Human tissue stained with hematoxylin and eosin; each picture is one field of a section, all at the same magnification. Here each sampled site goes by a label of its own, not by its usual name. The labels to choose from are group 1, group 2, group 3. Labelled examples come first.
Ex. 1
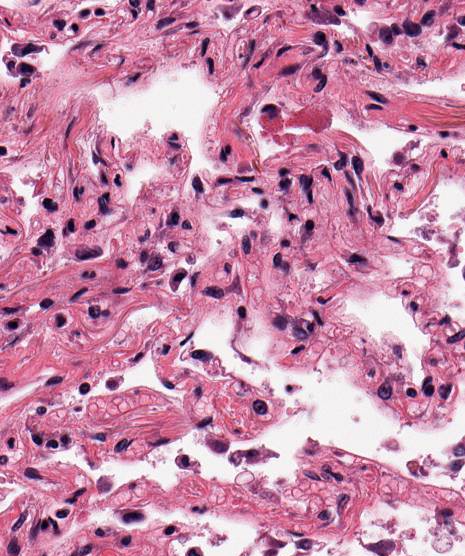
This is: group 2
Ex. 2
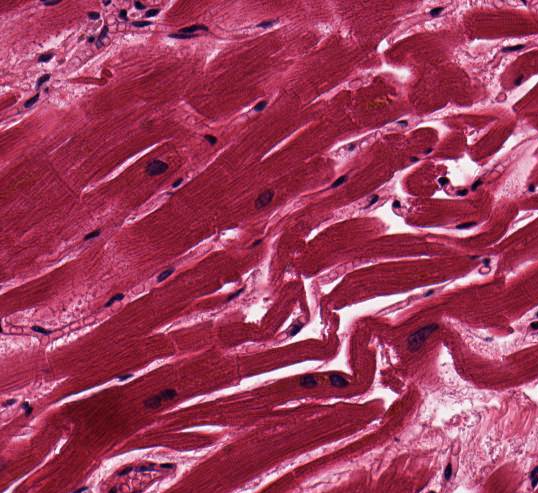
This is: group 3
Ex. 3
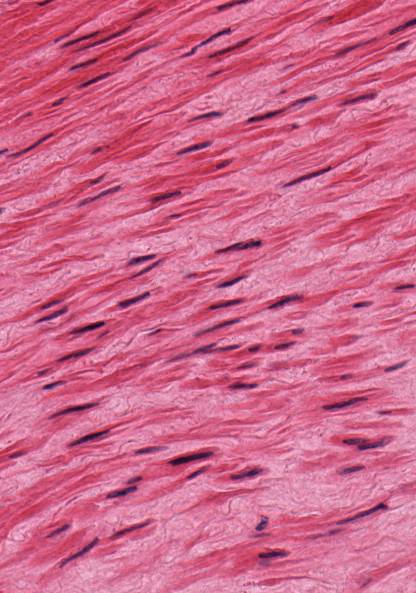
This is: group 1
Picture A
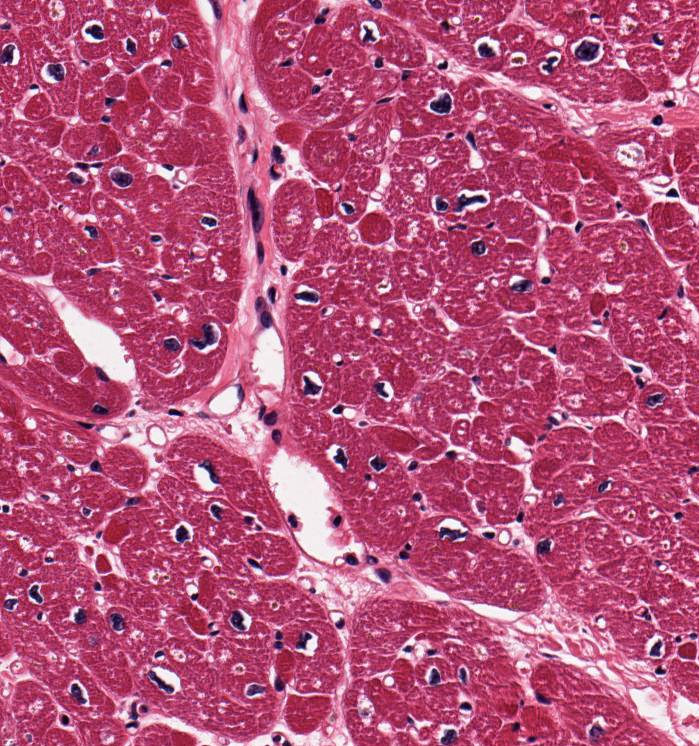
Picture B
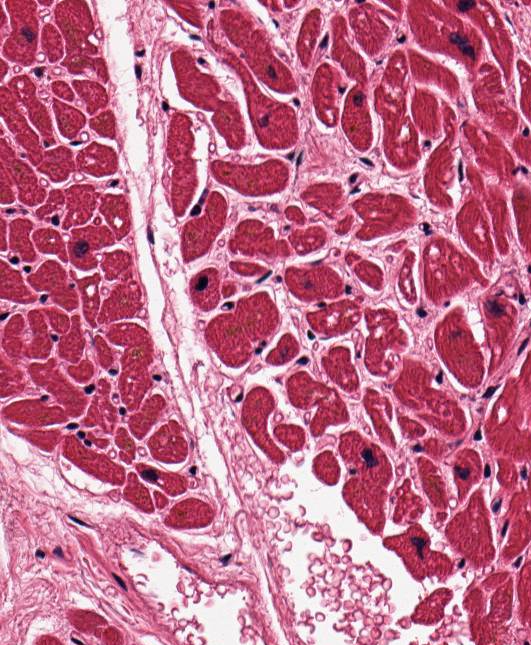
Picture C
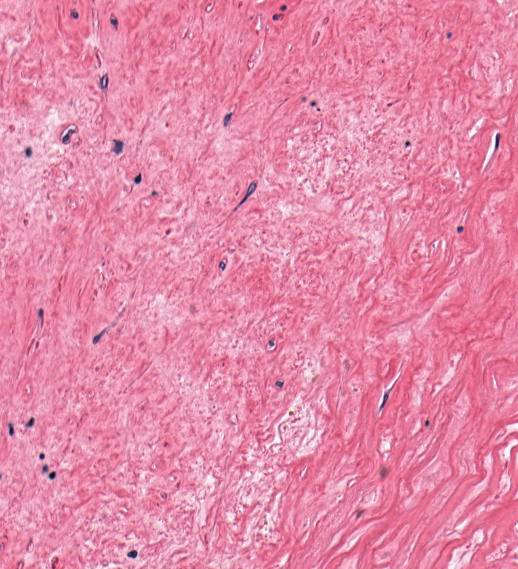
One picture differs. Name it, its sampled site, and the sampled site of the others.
C: group 1; all the others: group 3.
